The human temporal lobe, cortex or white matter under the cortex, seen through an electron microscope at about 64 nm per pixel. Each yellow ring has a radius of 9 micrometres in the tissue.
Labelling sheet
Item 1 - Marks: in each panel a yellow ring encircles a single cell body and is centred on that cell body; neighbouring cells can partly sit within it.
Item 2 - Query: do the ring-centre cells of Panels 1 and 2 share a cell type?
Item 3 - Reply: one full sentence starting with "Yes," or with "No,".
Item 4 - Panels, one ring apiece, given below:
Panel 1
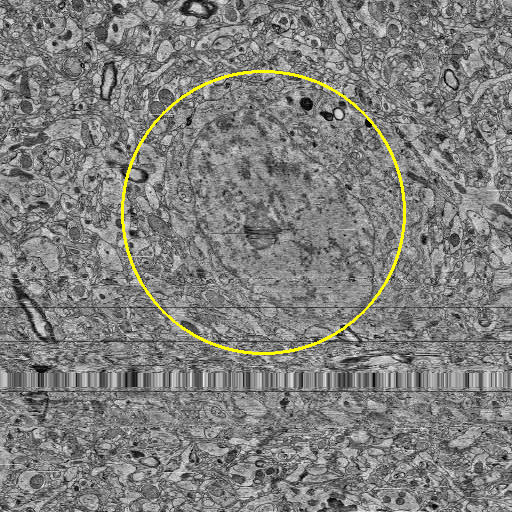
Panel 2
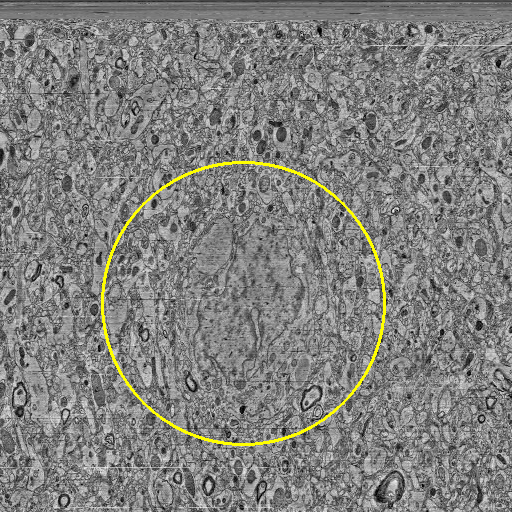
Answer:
Yes, Panel 1 and Panel 2 show one cell type at the centres of their rings.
